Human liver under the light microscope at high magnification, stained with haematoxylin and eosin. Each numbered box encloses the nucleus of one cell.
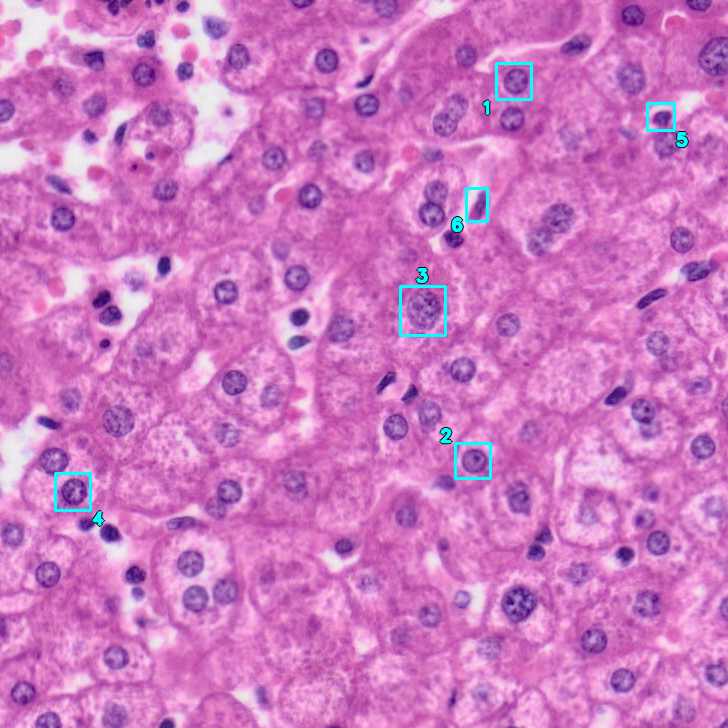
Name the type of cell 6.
Kupffer cell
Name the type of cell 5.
lymphocyte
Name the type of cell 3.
hepatocyte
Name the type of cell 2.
hepatocyte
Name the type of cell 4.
hepatocyte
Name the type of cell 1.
hepatocyte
